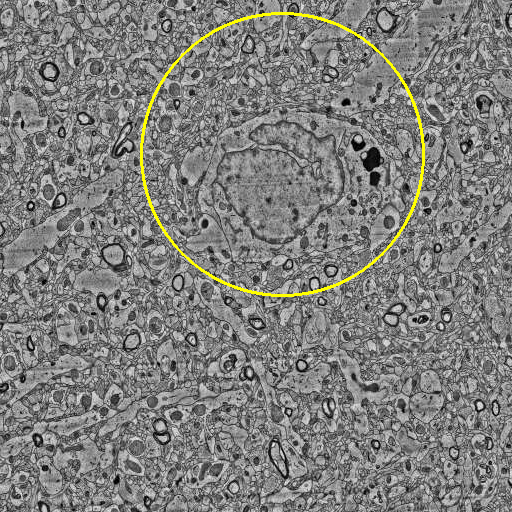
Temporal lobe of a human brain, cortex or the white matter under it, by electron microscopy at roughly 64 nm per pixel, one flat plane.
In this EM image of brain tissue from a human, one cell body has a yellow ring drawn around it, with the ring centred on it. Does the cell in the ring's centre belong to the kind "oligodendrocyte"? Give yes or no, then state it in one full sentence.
No, in the picture, the cell centred in the yellow ring belongs to another kind.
